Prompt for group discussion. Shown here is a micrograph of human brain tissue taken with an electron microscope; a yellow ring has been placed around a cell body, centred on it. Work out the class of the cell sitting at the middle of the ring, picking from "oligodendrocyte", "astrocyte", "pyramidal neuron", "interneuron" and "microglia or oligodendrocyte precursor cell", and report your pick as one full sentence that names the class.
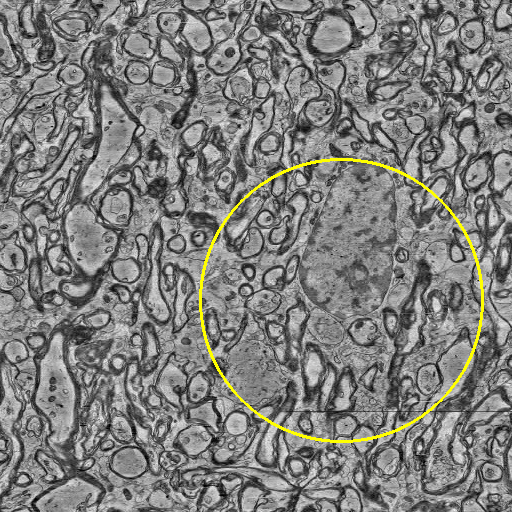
The cell sitting at the middle of the yellow ring is a microglial cell or oligodendrocyte precursor cell.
